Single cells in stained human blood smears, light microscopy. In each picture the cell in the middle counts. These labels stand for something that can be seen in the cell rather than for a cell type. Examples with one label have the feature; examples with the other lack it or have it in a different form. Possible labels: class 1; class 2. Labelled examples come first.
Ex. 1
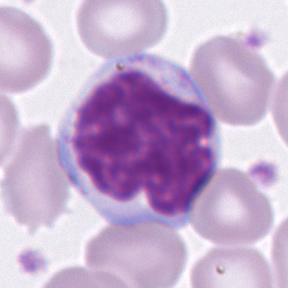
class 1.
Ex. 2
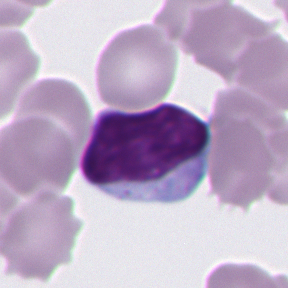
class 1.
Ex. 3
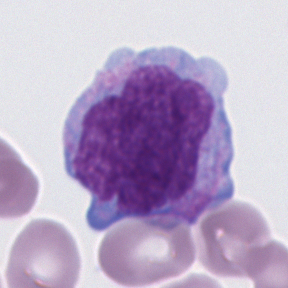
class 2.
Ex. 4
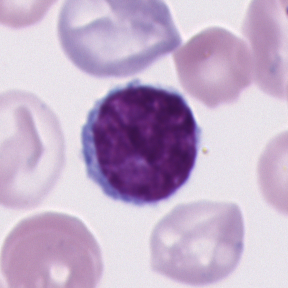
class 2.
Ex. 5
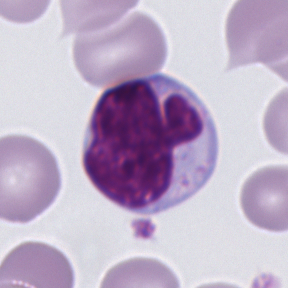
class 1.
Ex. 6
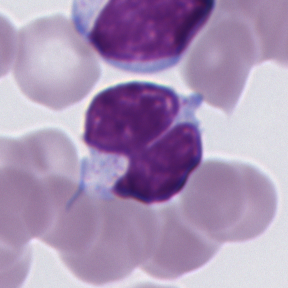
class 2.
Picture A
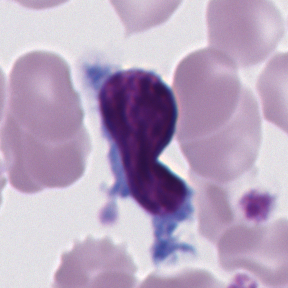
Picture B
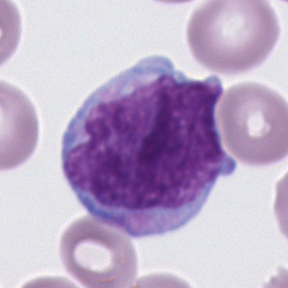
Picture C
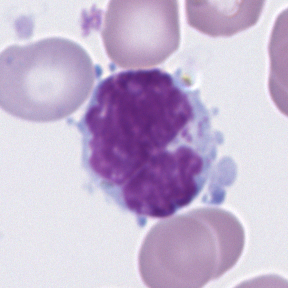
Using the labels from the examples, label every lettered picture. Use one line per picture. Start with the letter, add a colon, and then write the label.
A: class 2.
B: class 2.
C: class 2.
